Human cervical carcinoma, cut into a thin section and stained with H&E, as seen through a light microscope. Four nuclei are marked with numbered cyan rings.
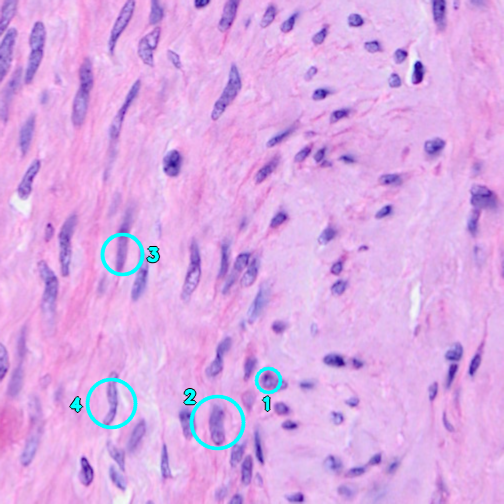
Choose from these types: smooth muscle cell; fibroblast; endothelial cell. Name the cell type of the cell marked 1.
smooth muscle cell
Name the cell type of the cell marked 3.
smooth muscle cell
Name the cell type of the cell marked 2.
smooth muscle cell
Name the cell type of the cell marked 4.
fibroblast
